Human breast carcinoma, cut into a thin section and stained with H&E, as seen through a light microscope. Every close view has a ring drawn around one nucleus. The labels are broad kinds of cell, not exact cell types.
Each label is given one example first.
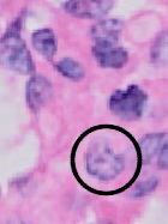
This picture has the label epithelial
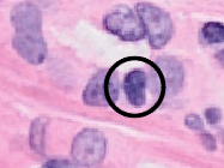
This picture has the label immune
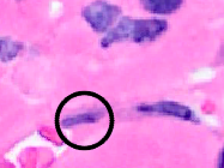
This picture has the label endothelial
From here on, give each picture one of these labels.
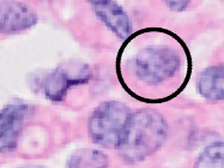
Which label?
epithelial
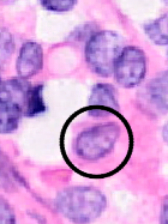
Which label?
epithelial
